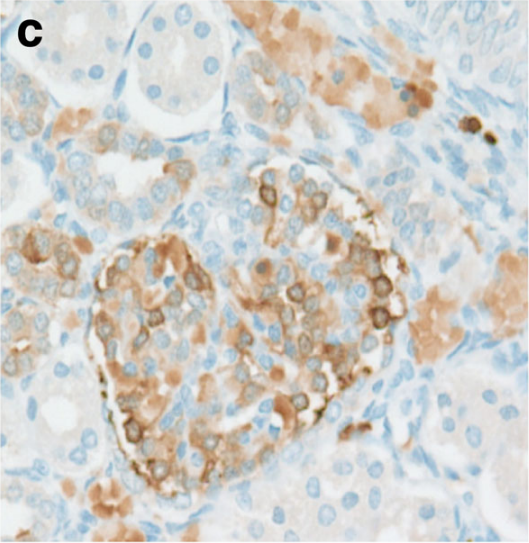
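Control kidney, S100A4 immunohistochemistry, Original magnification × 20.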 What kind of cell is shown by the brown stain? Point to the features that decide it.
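Surrounding tubules show paler brown staining.
Hence: podocytes and mononuclear cells.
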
